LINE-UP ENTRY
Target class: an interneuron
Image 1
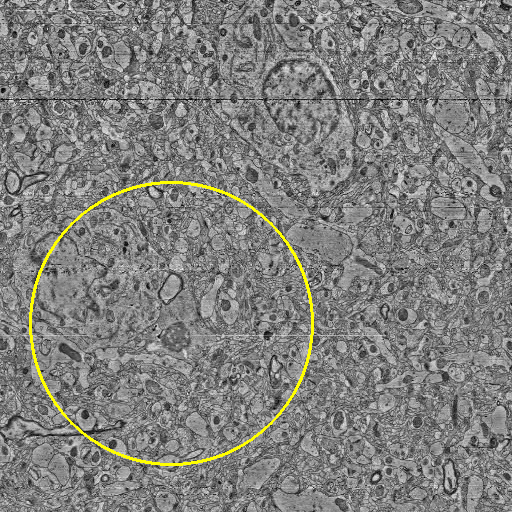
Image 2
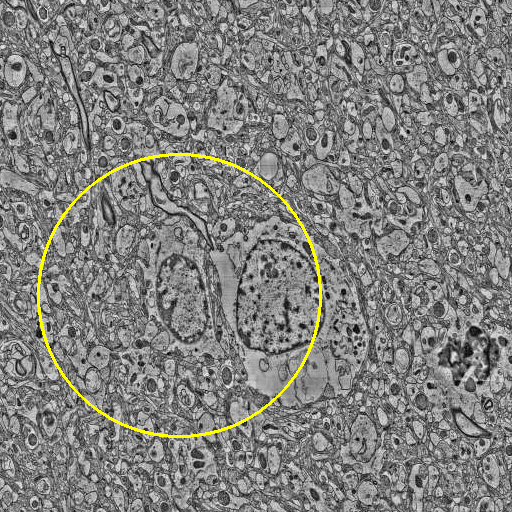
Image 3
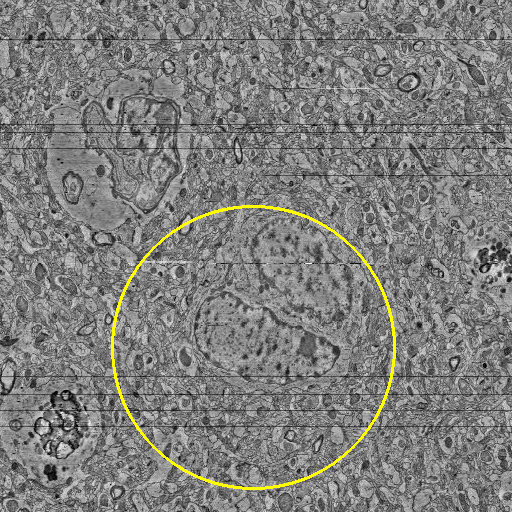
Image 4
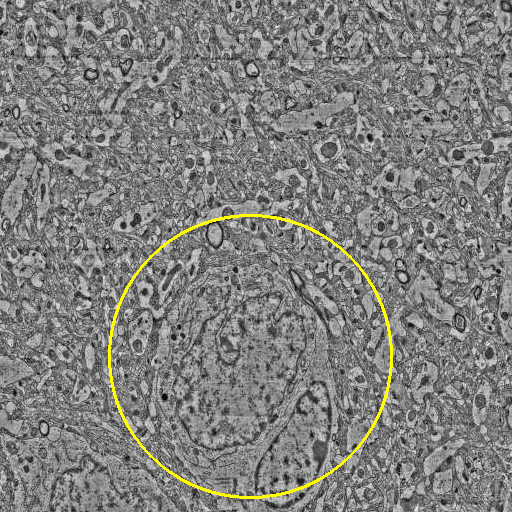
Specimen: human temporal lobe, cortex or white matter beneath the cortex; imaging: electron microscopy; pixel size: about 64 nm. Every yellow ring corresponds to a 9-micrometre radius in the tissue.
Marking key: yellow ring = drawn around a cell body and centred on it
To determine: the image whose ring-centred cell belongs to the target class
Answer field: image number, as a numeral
4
